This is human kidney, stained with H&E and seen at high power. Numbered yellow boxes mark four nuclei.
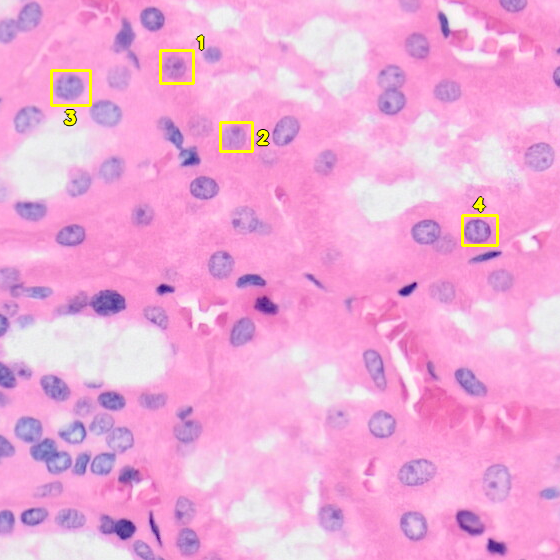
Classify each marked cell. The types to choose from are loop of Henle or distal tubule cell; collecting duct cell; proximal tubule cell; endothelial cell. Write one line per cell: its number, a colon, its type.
1: proximal tubule cell
2: proximal tubule cell
3: loop of Henle or distal tubule cell
4: proximal tubule cell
